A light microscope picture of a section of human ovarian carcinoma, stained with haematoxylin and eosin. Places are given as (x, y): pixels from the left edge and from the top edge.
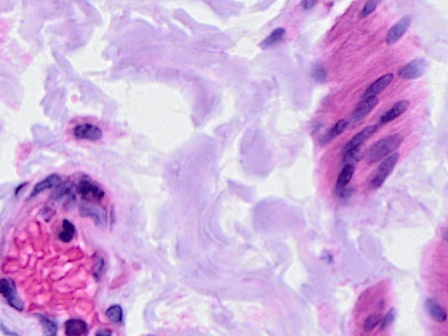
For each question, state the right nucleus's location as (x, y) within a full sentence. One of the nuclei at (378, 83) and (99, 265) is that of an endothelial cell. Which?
In this pair, the nucleus at (99, 265) belongs to an endothelial cell.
